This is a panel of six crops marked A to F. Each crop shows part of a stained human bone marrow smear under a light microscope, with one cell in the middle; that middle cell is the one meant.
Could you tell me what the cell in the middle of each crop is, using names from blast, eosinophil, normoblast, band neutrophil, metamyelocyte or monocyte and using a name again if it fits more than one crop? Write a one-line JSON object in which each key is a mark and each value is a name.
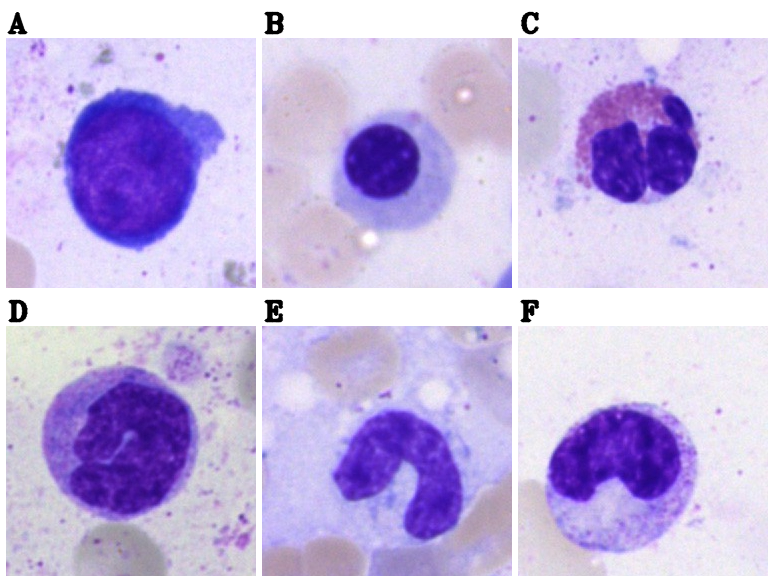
{"A": "blast", "B": "normoblast", "C": "eosinophil", "D": "monocyte", "E": "band neutrophil", "F": "metamyelocyte"}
